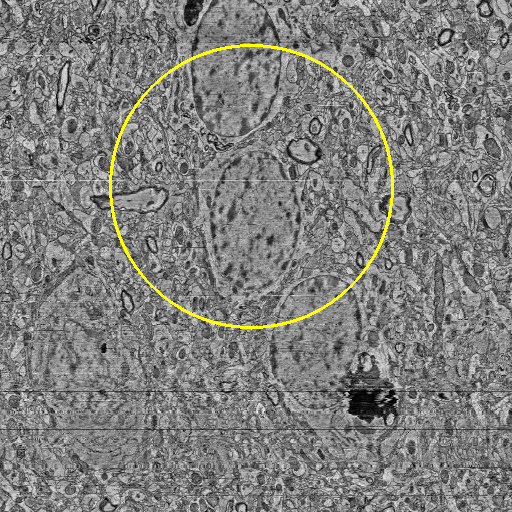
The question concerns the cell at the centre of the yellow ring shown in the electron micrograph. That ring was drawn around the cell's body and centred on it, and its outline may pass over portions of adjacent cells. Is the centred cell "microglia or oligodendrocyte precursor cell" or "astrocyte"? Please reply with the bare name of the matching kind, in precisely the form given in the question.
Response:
astrocyte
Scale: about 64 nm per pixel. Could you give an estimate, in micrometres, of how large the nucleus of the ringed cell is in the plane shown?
Clearly longer than it is wide in this plane, the nucleus measures roughly 9 by 6 micrometres.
